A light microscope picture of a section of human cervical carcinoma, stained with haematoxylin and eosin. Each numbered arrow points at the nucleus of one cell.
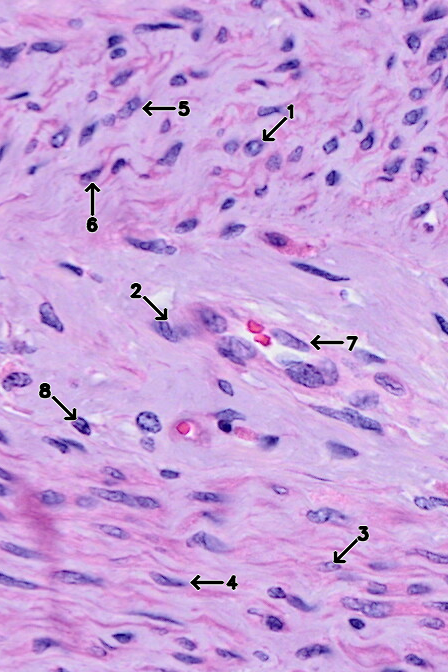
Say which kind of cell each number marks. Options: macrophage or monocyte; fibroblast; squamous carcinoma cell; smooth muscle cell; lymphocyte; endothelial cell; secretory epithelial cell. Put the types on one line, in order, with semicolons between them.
smooth muscle cell; endothelial cell; smooth muscle cell; smooth muscle cell; smooth muscle cell; smooth muscle cell; endothelial cell; lymphocyte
